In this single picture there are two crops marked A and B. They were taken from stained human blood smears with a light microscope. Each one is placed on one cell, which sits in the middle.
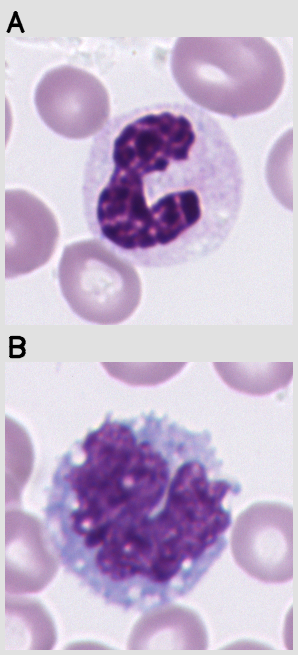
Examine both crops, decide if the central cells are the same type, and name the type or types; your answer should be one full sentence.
No, crop A contains a neutrophil, while crop B contains a monocyte.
